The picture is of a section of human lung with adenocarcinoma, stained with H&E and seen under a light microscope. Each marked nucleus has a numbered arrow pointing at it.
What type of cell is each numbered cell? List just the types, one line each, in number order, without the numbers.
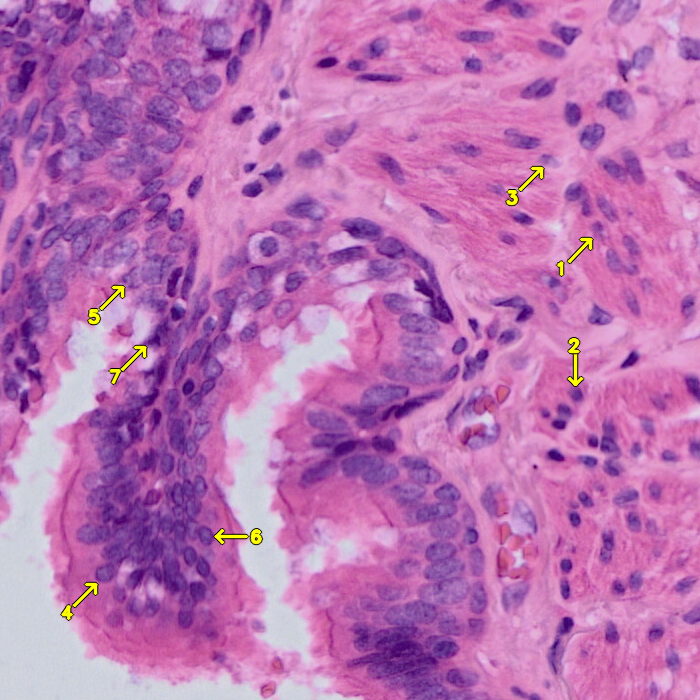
smooth muscle cell or pericyte
smooth muscle cell or pericyte
smooth muscle cell or pericyte
ciliated epithelial cell
ciliated epithelial cell
ciliated epithelial cell
ciliated epithelial cell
